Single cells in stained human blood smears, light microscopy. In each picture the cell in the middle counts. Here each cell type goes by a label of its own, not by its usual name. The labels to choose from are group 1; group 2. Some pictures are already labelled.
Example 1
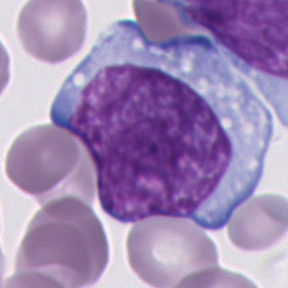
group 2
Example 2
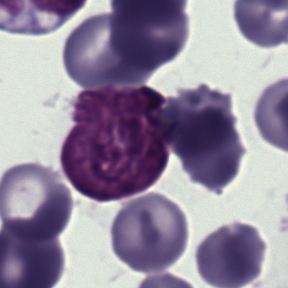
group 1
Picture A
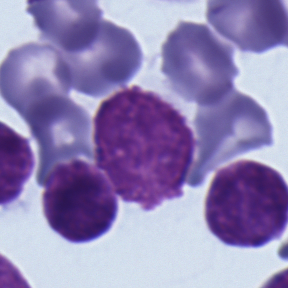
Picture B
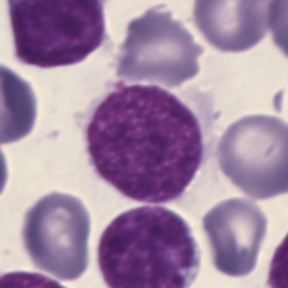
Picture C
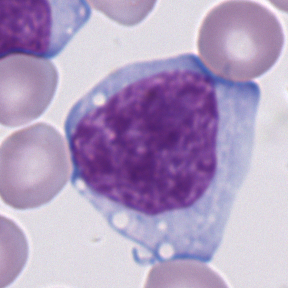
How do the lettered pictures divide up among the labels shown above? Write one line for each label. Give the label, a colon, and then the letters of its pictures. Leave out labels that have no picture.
group 2: A, B, C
